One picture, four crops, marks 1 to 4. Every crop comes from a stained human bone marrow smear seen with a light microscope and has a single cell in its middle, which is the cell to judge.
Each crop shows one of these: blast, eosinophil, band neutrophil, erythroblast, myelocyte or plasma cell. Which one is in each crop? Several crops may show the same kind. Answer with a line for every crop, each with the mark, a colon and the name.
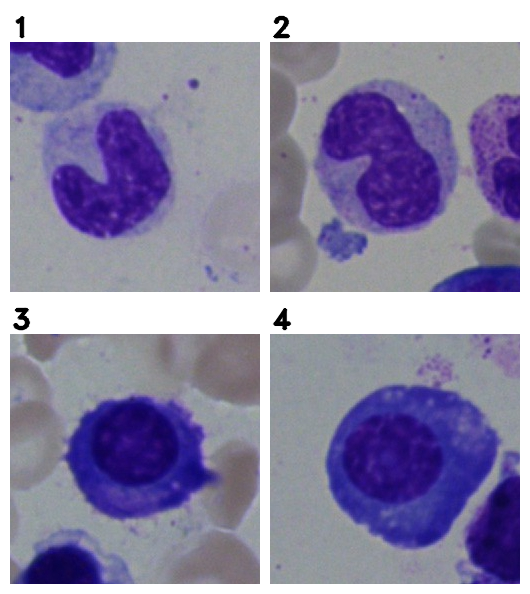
1: band neutrophil
2: band neutrophil
3: plasma cell
4: plasma cell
